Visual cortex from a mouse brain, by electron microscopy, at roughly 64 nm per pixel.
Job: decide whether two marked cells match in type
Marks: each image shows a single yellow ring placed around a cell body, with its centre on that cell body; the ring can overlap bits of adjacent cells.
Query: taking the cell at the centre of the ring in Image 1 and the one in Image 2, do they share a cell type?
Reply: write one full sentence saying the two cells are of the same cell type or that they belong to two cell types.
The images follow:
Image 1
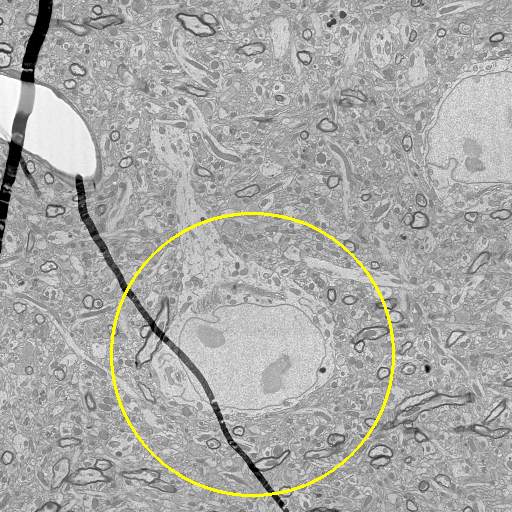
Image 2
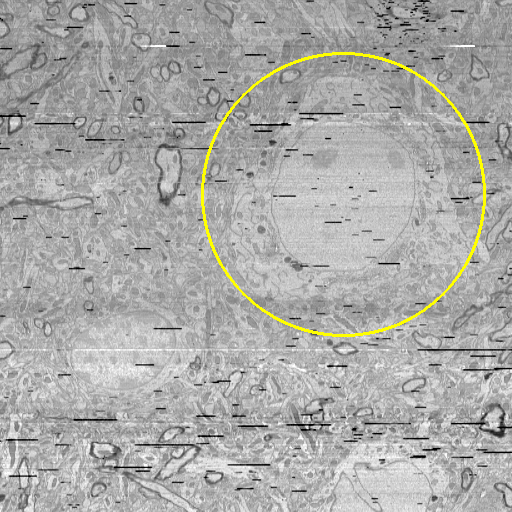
The cells at the ring centres in Image 1 and Image 2 are of the same cell type.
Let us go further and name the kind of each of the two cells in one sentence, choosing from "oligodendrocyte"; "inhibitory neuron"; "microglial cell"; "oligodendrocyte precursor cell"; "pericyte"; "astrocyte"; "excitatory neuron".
Both rings mark an excitatory neuron, one in each picture.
